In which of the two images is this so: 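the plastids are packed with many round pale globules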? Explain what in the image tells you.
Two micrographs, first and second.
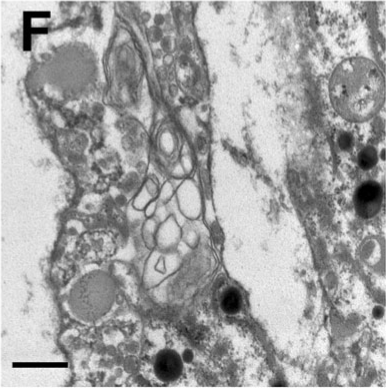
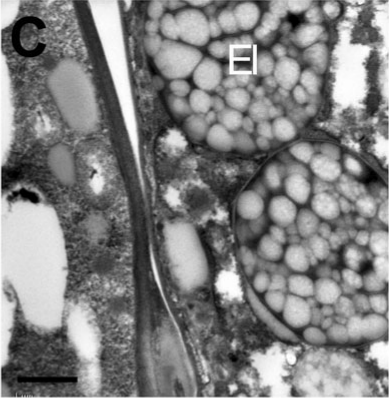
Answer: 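The second image. First image: irregular membrane-bound bodies with a few vesicles and dark dense droplets, no large globule-filled plastids. Second image: two large round plastids densely filled with many pale globules.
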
